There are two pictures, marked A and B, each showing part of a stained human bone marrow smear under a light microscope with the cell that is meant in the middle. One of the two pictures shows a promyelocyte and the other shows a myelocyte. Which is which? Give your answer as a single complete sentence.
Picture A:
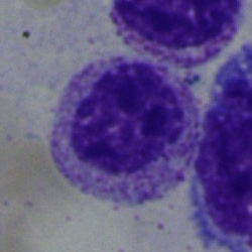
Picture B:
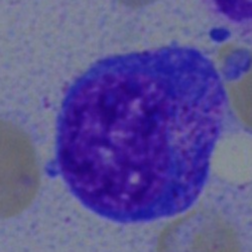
The cell in picture A is a myelocyte, and the one in picture B is a promyelocyte.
